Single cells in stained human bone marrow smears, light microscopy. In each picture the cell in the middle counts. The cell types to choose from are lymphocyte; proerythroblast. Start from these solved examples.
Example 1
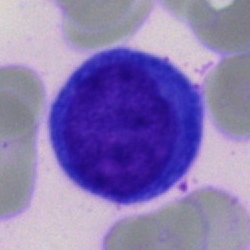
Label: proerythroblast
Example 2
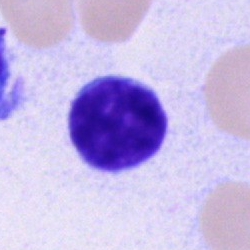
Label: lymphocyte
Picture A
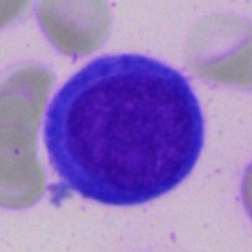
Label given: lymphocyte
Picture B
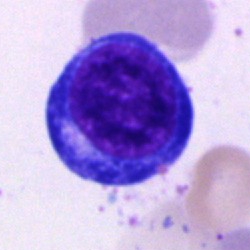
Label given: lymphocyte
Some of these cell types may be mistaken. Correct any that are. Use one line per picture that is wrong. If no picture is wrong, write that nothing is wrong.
Wrong: A (lymphocyte); correct: proerythroblast
Wrong: B (lymphocyte); correct: proerythroblast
